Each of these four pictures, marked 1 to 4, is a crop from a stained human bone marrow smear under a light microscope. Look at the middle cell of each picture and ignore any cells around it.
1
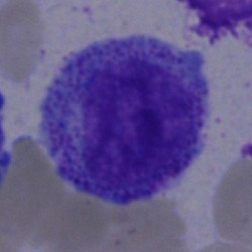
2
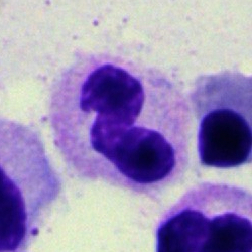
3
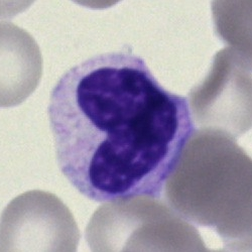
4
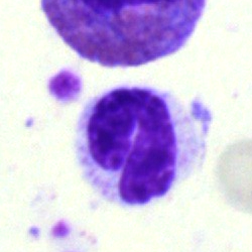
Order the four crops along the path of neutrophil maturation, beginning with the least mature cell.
1, 3, 4, 2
